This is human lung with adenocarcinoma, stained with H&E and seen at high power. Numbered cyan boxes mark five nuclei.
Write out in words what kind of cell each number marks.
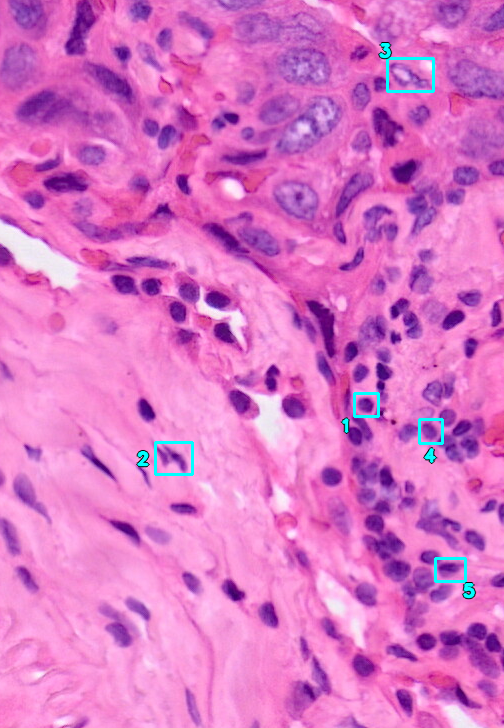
Cells 1, 4 and 5 are lymphocytes. Cell 2 is a fibroblast. Cell 3 is a macrophage or monocyte.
